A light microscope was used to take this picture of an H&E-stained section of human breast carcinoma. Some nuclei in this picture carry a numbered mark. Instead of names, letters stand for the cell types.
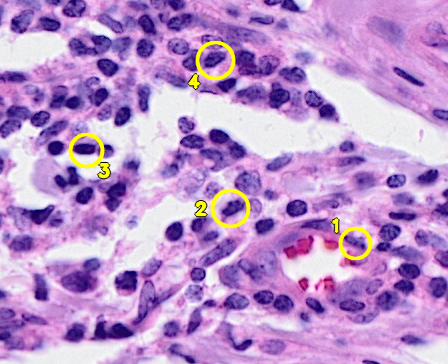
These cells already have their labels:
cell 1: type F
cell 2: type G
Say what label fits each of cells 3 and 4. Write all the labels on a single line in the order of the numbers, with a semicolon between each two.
type G; type G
